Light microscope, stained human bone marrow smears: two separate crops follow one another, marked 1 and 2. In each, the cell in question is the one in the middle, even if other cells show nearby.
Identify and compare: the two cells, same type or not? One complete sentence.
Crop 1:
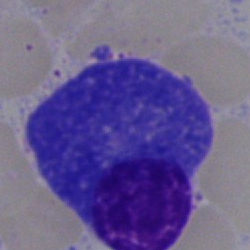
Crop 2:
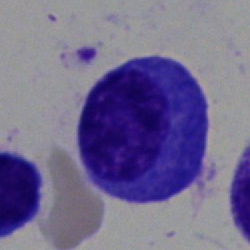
Yes, as an answer for this item, both crops show plasma cells.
